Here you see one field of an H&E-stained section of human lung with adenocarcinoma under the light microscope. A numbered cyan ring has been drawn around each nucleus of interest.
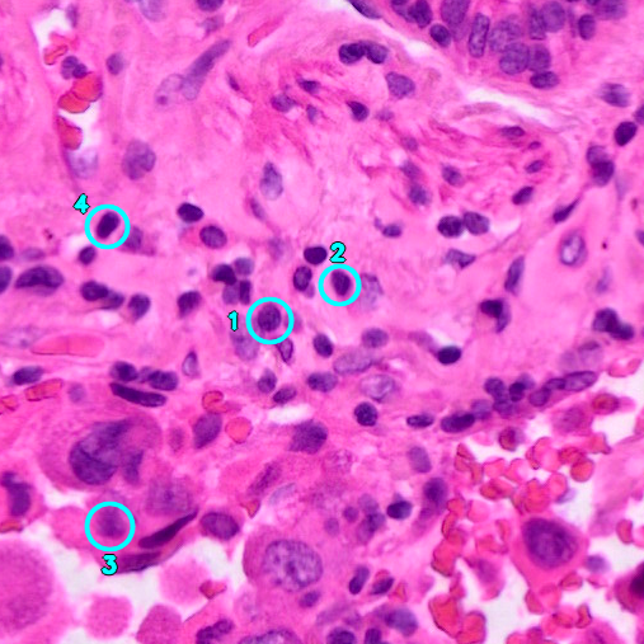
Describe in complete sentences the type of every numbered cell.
Cell 1 is a lymphocyte, cell 2 is a lymphocyte, cell 3 is a carcinoma cell and cell 4 is a lymphocyte.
